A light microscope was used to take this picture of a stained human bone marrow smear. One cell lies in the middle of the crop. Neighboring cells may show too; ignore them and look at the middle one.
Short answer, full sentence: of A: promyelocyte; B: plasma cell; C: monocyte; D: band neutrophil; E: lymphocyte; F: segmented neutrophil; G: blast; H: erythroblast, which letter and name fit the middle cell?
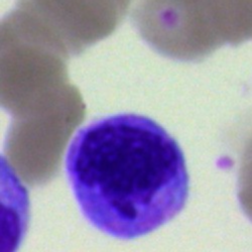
The centrally located cell is a monocyte, making option C the correct choice.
